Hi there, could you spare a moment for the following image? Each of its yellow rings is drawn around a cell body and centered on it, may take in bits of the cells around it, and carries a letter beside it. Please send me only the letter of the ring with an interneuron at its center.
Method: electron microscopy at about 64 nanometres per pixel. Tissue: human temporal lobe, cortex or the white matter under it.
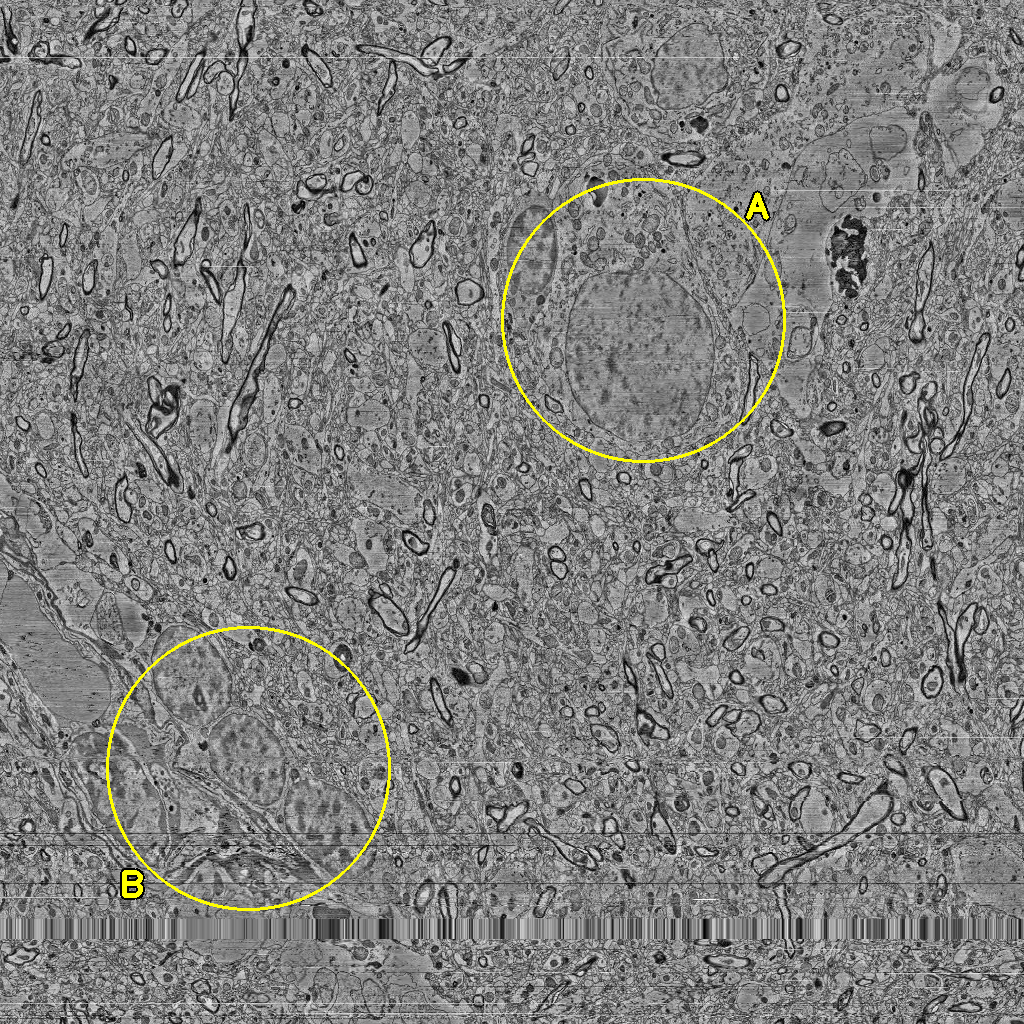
A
